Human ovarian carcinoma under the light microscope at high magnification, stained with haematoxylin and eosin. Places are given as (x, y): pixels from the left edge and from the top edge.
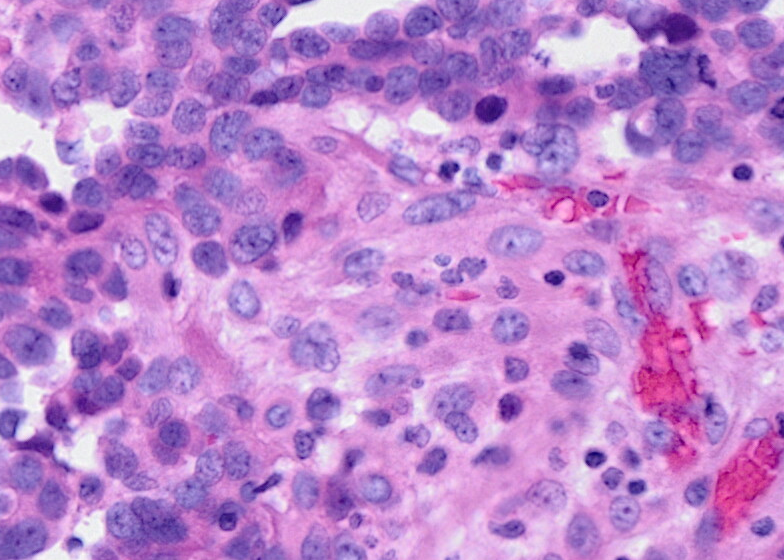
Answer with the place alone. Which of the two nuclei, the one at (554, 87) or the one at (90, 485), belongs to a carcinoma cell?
(554, 87)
